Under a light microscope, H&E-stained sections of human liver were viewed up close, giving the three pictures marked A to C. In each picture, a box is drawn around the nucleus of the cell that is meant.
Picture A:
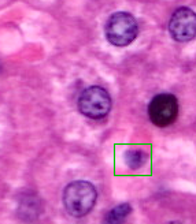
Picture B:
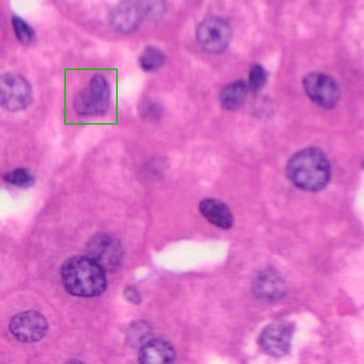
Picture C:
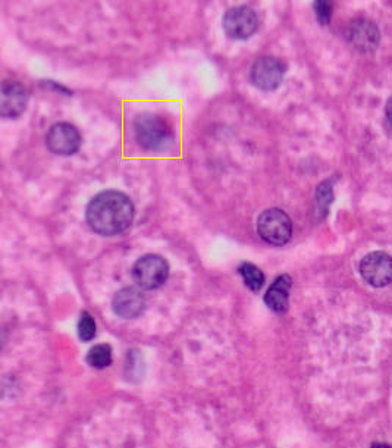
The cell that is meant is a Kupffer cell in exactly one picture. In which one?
B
